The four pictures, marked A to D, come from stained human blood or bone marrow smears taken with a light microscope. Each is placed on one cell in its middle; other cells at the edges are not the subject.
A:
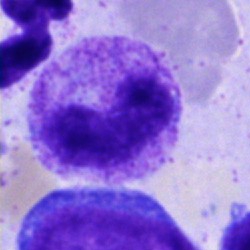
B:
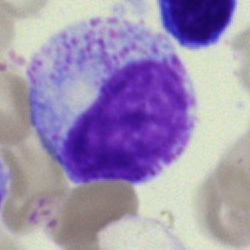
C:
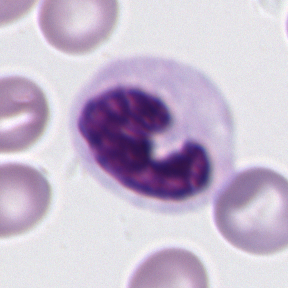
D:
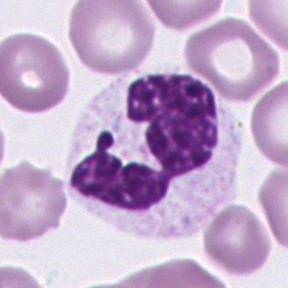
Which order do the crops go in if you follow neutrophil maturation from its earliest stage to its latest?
B, A, C, D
